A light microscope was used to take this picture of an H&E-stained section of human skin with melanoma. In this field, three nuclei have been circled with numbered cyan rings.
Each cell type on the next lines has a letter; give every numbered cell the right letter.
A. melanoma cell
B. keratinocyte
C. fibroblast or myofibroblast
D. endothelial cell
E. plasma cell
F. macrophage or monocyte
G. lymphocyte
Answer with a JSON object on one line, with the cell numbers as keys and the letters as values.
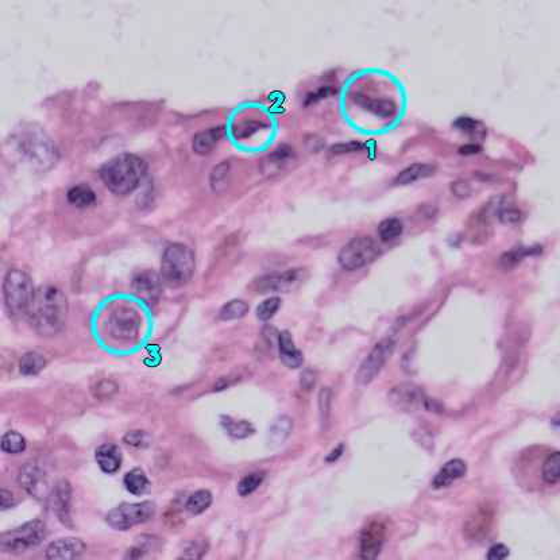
{"1": "F", "2": "D", "3": "A"}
